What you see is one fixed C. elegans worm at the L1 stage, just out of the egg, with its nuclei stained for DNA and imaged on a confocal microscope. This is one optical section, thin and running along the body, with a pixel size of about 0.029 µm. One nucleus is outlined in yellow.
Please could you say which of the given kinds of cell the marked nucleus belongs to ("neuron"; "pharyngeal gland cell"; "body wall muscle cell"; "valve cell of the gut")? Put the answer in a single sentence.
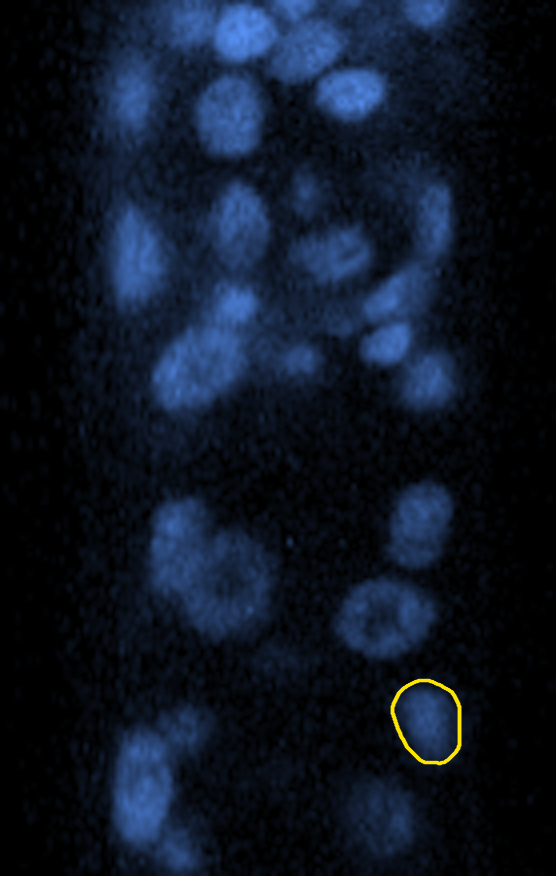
It is the nucleus of a body wall muscle cell.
